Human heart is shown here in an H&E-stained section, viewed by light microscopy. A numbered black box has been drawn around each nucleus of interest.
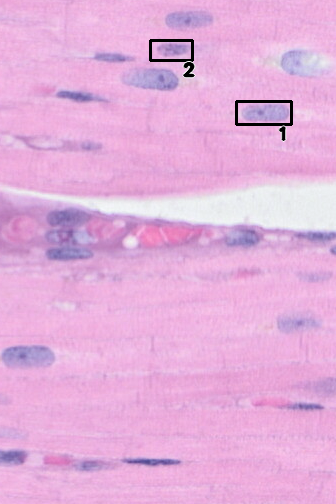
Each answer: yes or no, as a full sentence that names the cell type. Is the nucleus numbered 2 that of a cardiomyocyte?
No, the cell carrying number 2 is an endothelial cell, not a cardiomyocyte.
